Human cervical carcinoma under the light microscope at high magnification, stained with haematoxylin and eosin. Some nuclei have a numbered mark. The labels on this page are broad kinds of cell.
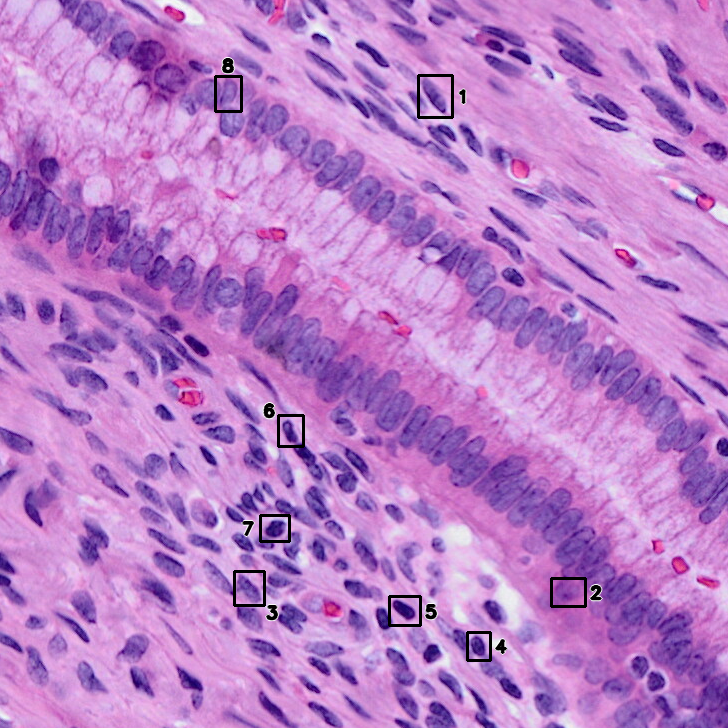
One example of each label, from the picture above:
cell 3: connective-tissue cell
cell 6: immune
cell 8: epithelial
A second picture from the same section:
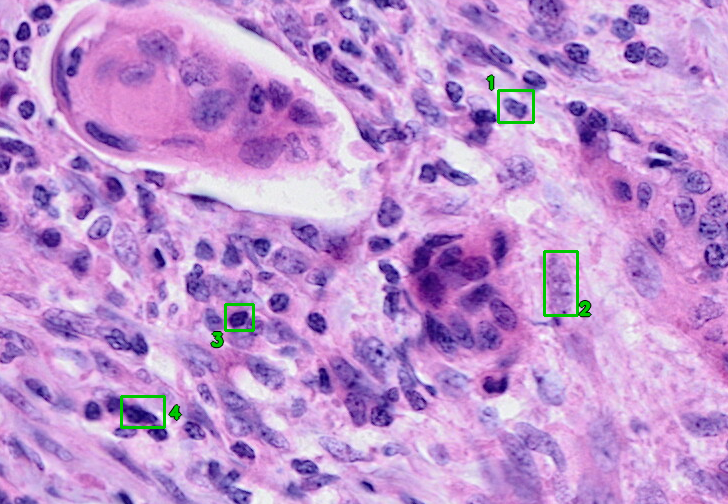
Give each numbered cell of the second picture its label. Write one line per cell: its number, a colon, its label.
1: immune
2: connective-tissue cell
3: immune
4: immune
